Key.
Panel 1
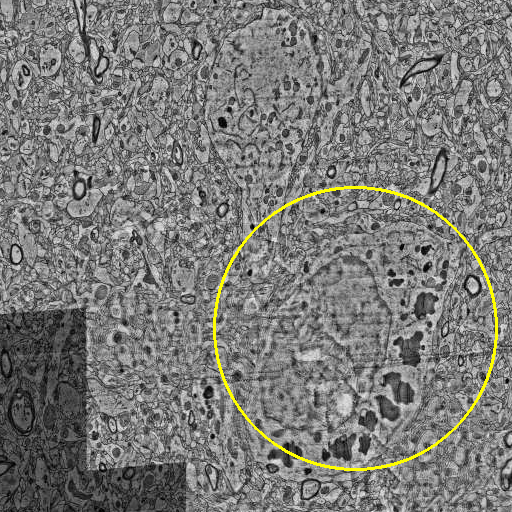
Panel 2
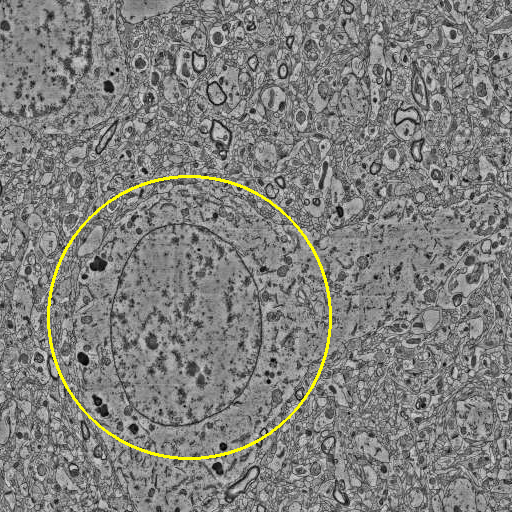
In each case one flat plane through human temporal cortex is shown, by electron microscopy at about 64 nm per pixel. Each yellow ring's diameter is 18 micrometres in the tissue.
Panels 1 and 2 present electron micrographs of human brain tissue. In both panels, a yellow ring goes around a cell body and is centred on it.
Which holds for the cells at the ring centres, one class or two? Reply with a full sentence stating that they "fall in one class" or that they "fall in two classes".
Taken together, the ring-centre cells of the two panels fall in two classes.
